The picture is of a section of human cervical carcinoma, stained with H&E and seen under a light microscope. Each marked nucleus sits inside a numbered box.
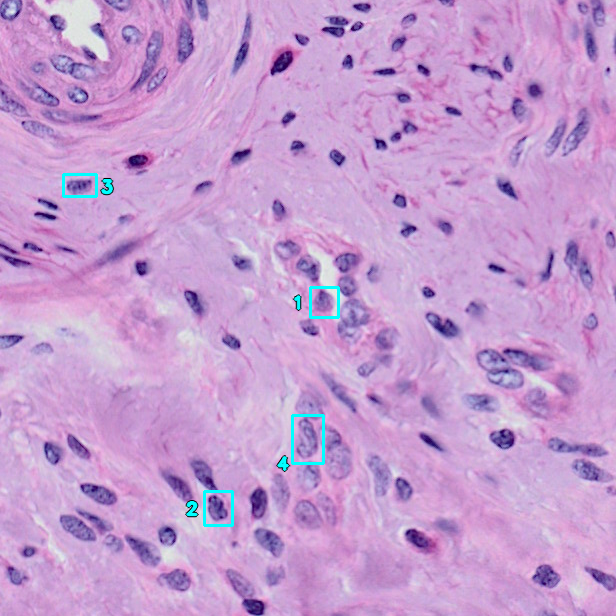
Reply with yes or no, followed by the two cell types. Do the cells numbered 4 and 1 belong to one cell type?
Yes, note that cells 4 and 1 are both endothelial cells.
